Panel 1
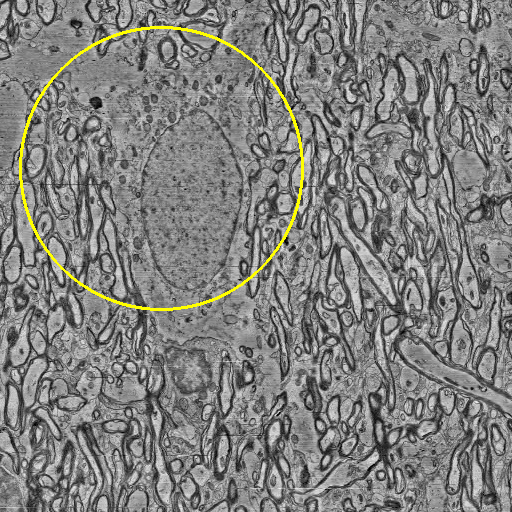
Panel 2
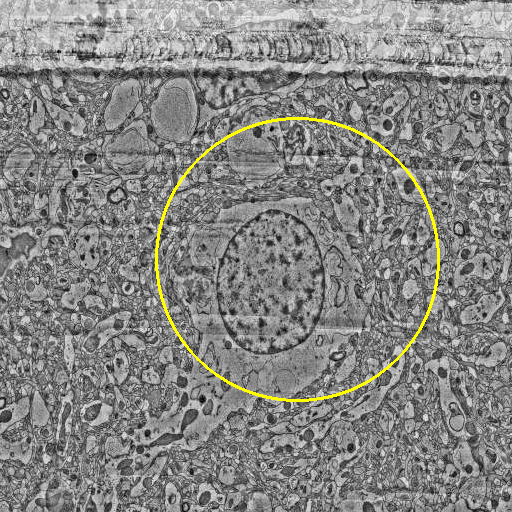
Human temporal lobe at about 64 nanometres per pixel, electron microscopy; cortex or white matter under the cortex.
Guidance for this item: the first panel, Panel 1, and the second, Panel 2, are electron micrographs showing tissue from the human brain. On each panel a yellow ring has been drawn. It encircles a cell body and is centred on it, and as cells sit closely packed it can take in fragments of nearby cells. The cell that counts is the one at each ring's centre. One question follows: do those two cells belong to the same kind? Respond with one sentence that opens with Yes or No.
Yes, the cells at the ring centres in Panel 1 and Panel 2 are of one kind.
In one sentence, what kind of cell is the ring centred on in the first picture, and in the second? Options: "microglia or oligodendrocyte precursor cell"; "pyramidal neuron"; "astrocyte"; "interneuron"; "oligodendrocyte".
Each cell, in the first picture and the second, is an astrocyte.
